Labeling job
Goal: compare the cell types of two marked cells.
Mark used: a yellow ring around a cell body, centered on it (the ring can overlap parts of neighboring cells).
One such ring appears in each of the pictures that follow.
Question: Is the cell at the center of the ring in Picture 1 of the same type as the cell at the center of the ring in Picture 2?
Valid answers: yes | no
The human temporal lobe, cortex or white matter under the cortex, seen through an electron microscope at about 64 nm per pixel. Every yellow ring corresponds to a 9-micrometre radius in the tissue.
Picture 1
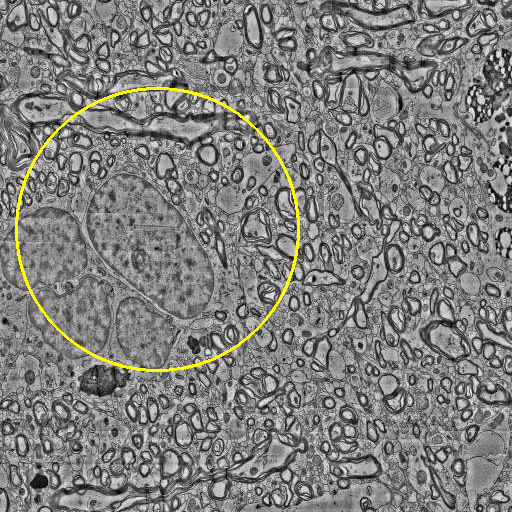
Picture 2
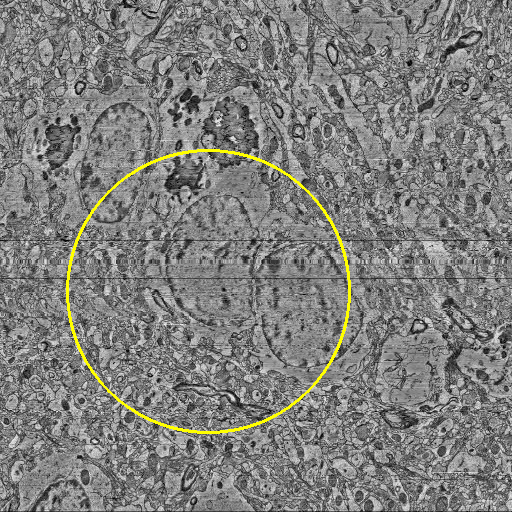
no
